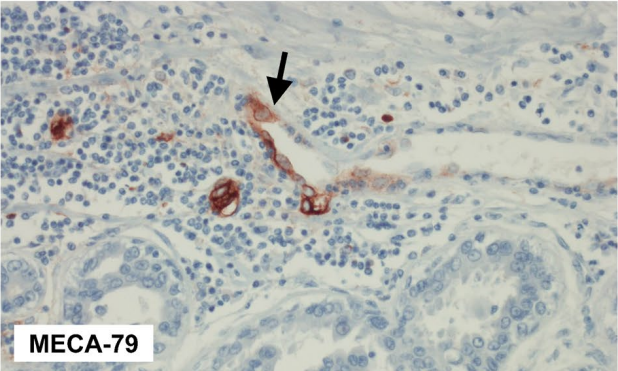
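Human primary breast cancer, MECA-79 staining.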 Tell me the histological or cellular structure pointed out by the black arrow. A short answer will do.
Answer: Blood vessels.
